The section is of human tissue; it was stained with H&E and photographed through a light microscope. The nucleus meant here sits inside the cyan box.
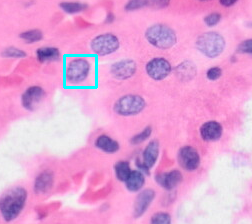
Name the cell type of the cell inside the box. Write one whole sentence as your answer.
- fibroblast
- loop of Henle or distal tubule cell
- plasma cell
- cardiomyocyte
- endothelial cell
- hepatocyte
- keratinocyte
The expected answer is simply that the cell inside the box is a loop of Henle or distal tubule cell.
